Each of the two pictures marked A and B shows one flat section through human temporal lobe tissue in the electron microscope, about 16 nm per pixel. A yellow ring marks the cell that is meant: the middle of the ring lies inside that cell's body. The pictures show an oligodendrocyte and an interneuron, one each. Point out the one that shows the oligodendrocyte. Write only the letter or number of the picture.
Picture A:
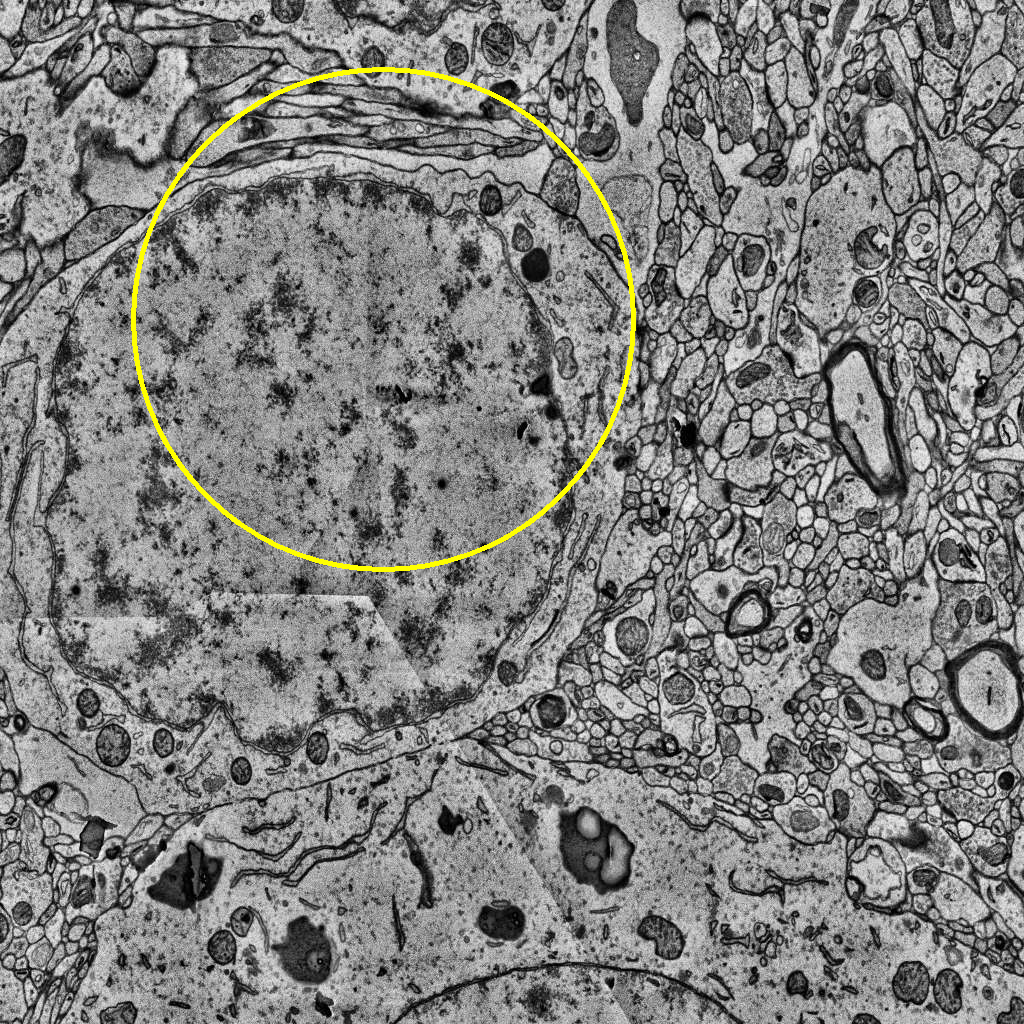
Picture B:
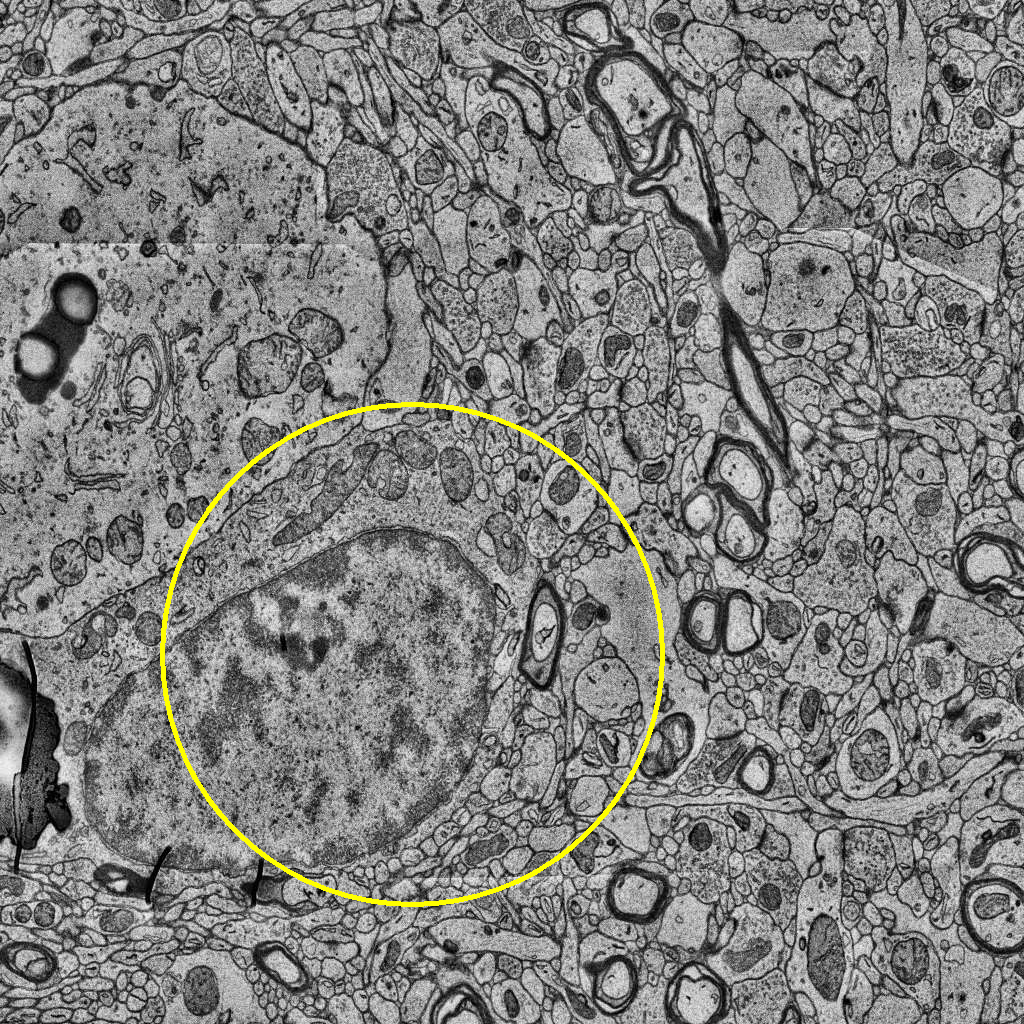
B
